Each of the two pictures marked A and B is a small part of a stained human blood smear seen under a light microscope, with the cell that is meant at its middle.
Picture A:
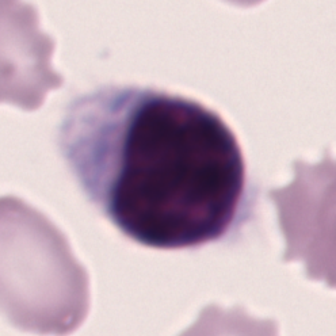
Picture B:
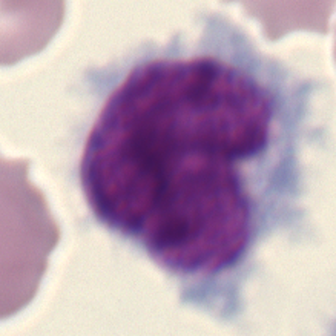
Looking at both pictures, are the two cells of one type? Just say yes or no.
yes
